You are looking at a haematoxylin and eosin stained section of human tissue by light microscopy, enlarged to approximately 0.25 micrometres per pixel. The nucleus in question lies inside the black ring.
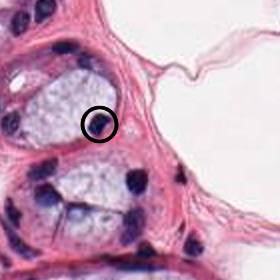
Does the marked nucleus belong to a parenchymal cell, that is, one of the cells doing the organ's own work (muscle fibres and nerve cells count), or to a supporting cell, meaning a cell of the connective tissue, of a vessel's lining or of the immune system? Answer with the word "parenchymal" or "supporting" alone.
parenchymal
